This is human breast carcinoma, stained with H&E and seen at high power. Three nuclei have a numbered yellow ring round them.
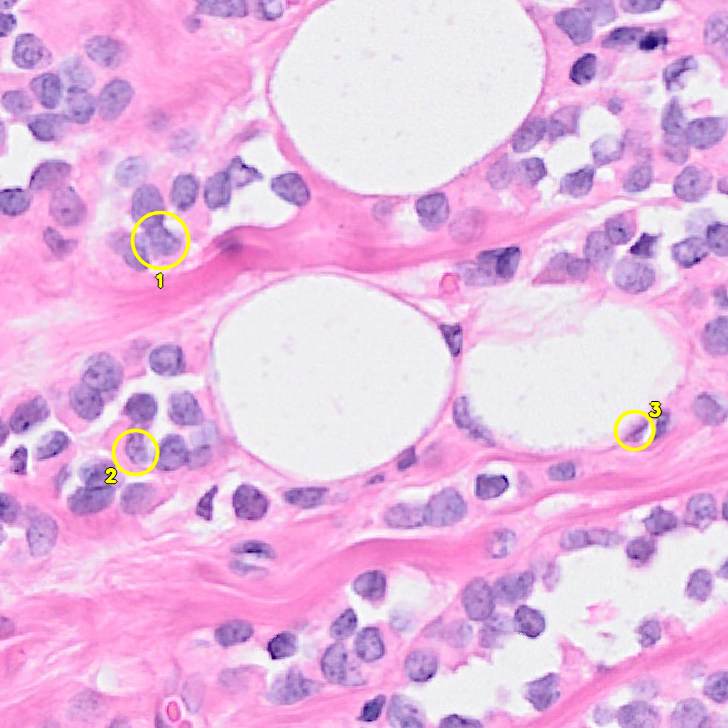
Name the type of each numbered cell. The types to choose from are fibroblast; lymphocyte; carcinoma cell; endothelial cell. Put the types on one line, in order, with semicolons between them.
carcinoma cell; carcinoma cell; endothelial cell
